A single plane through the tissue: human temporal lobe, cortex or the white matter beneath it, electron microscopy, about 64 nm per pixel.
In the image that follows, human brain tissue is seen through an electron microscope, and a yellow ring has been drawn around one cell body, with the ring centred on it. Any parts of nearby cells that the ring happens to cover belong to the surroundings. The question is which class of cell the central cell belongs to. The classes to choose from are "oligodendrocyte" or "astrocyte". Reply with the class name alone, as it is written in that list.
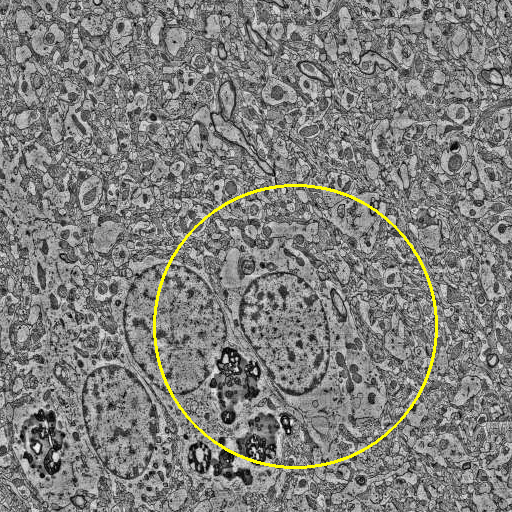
astrocyte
